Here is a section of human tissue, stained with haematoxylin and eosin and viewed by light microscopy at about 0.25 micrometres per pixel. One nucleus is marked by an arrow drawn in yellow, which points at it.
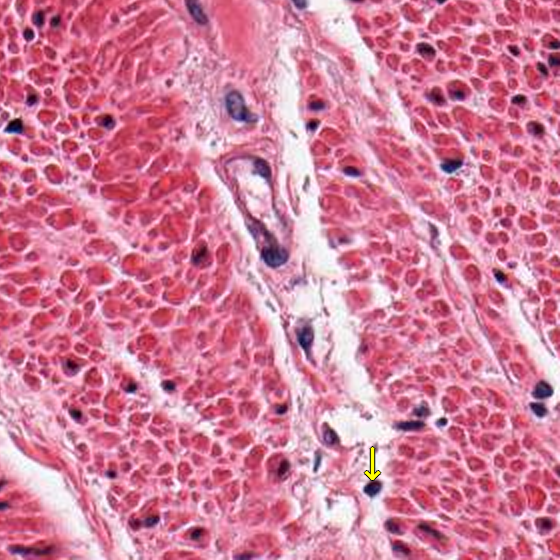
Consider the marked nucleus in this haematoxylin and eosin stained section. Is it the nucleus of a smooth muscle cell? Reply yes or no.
no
